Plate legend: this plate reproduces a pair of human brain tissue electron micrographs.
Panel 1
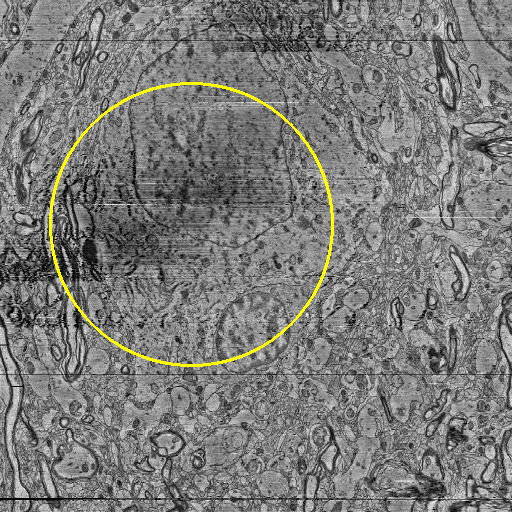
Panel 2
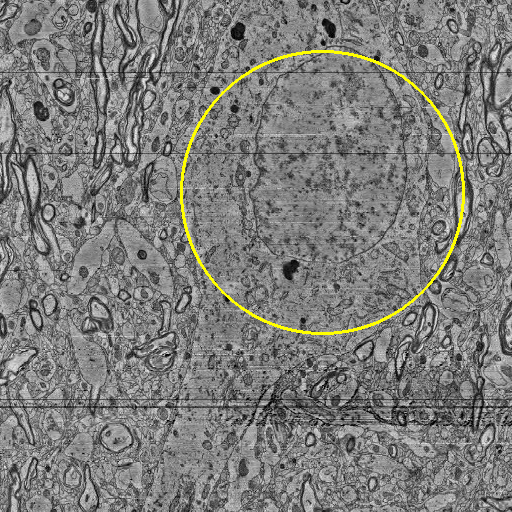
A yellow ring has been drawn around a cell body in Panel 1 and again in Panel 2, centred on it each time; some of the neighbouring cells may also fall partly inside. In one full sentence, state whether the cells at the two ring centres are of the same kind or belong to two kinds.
The ring-centred cells of Panel 1 and Panel 2 are of the same kind.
